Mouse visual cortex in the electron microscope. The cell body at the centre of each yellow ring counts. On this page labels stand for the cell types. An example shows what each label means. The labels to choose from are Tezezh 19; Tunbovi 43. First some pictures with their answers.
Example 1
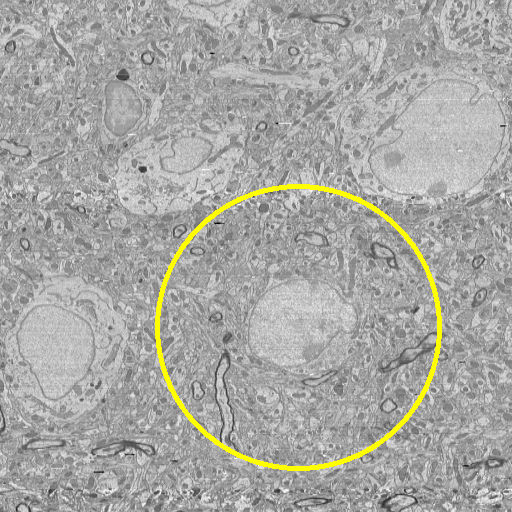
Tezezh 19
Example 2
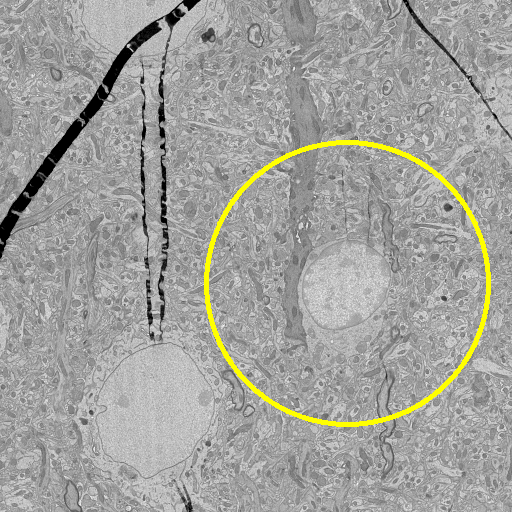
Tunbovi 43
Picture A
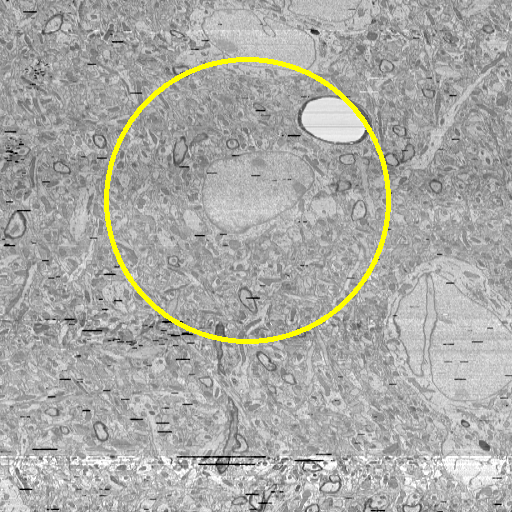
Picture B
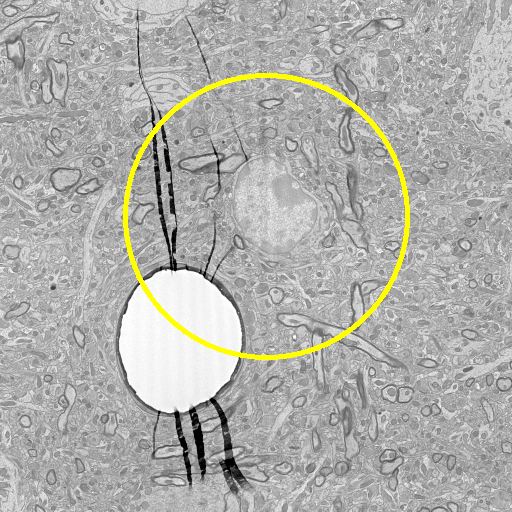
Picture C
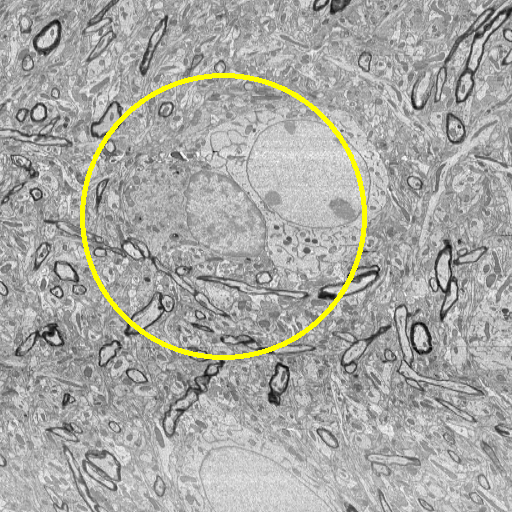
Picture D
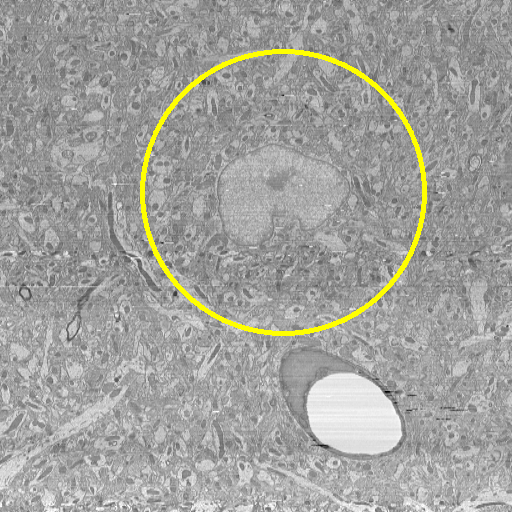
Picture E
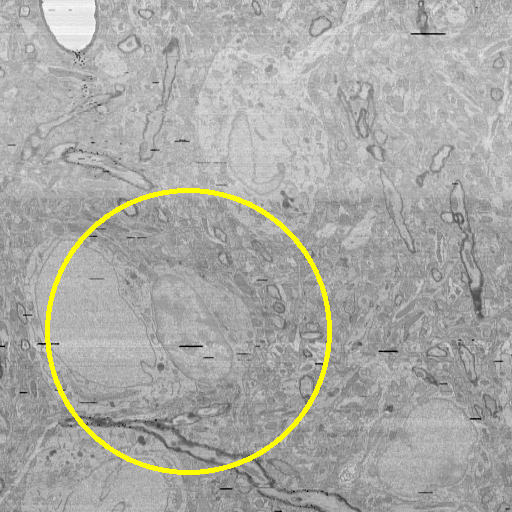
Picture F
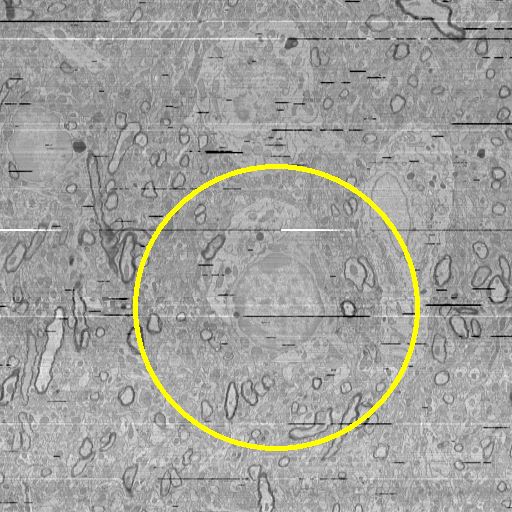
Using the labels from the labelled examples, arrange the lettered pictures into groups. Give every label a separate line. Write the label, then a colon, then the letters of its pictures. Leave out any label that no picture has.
Tezezh 19: A, D
Tunbovi 43: B, C, E, F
